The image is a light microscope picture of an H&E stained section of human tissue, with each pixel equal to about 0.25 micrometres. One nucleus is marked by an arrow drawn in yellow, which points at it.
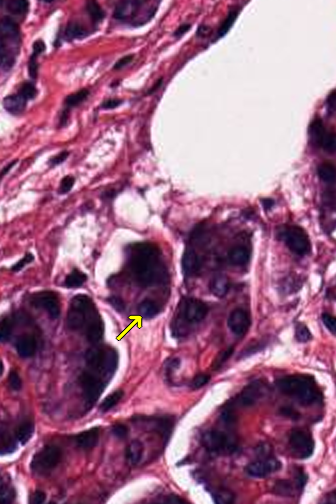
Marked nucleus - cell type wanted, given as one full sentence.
What the marked nucleus belongs to is a pancreatic acinar cell.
